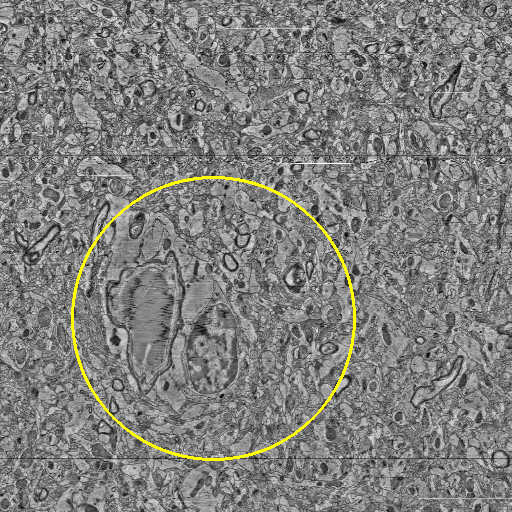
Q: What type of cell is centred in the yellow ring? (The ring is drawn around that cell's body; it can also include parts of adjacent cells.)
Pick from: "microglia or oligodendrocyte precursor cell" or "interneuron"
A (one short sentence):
The yellow ring is centred on a microglial cell or oligodendrocyte precursor cell.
